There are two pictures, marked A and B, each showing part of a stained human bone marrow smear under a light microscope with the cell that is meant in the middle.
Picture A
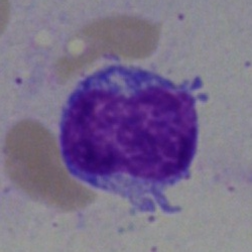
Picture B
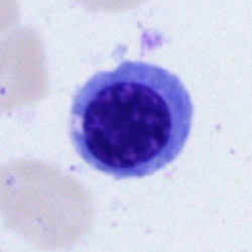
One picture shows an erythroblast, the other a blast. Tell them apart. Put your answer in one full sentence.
In picture A the cell is a blast; in picture B, an erythroblast.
